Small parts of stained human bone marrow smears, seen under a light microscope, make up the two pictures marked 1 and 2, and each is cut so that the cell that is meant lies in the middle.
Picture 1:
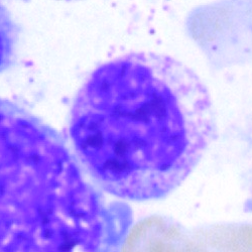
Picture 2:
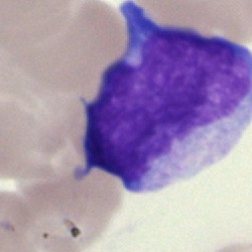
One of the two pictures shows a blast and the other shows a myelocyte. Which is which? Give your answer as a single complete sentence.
It is picture 1 that shows a myelocyte, and picture 2 that shows a blast.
